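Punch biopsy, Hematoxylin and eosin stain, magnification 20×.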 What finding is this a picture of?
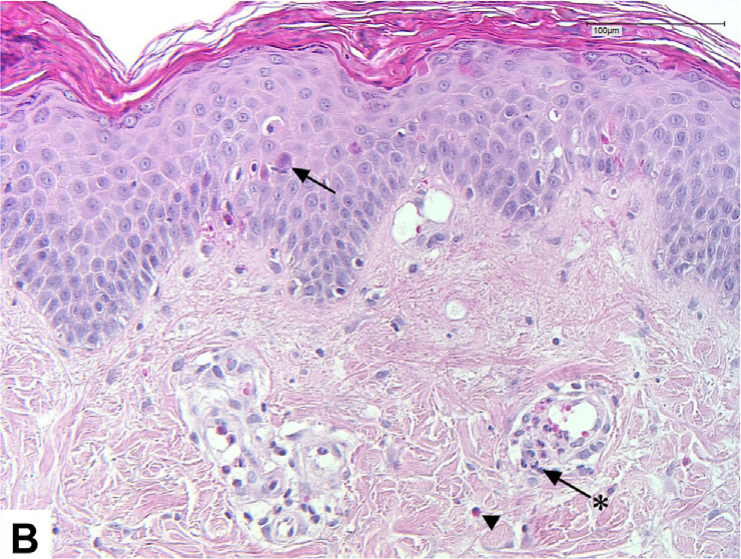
Superficial perivascular and interstitial lymphocytic infiltration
